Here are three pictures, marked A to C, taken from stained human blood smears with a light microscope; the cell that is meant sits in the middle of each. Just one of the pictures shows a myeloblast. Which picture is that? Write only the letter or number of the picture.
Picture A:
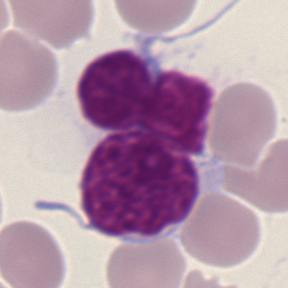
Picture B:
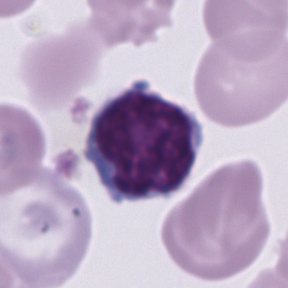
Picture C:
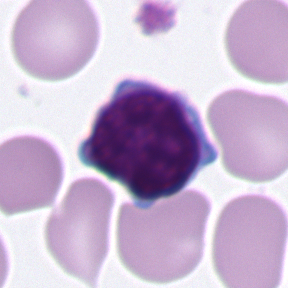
A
